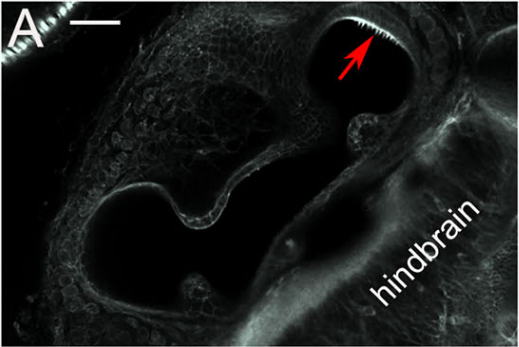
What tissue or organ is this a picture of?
inner ear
